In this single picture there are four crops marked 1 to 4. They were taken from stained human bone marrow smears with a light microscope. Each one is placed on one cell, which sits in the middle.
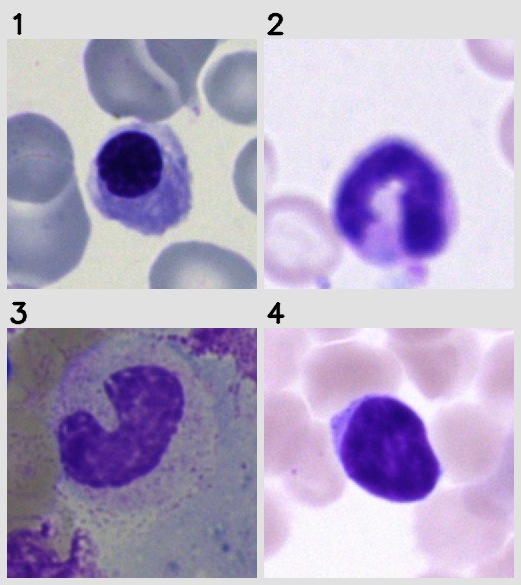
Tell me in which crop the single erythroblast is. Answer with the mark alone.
1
